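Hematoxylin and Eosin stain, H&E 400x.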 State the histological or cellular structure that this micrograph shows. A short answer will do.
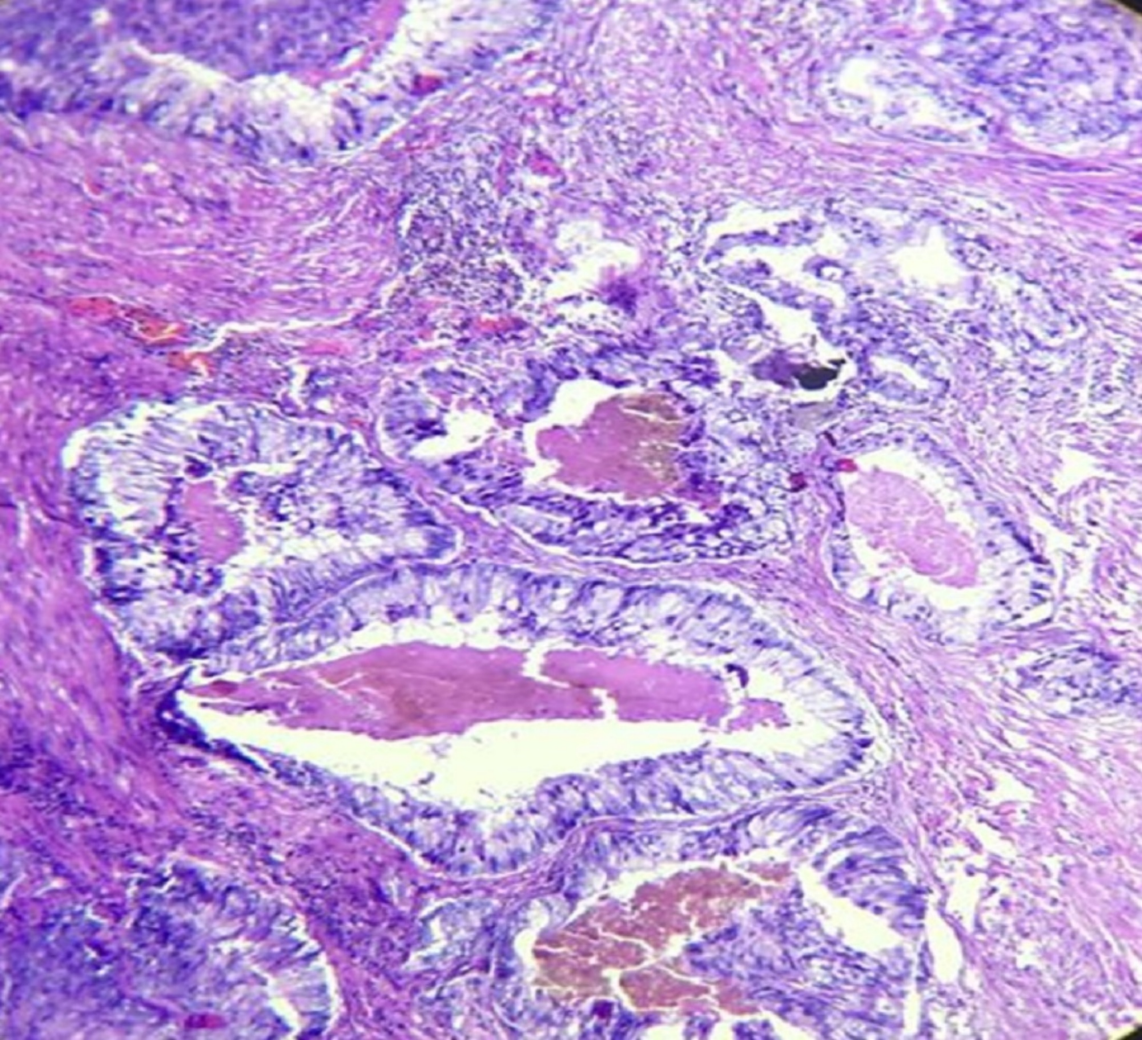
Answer: Tumor glands.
